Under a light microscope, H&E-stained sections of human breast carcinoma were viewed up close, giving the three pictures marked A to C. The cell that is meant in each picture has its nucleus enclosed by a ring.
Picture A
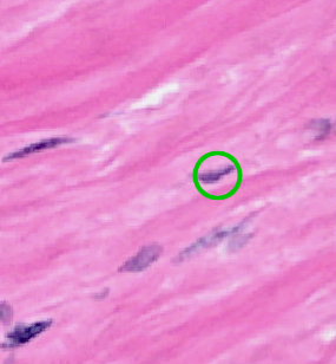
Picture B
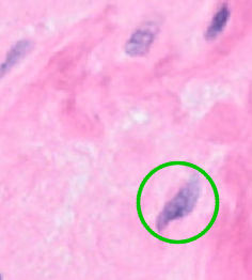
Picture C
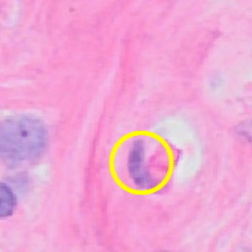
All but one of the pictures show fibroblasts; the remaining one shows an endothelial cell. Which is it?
C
